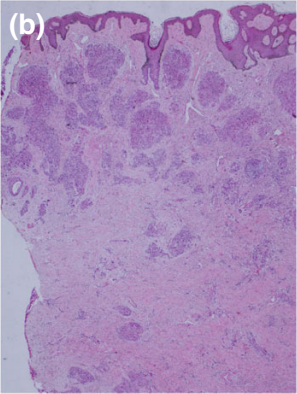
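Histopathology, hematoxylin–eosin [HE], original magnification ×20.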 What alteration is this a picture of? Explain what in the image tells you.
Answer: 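“cannon ball‐like” appearance. Many rounded, darker purple cellular lobules scattered through the dermis. Lobules set in paler pink stroma beneath the epidermis.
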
